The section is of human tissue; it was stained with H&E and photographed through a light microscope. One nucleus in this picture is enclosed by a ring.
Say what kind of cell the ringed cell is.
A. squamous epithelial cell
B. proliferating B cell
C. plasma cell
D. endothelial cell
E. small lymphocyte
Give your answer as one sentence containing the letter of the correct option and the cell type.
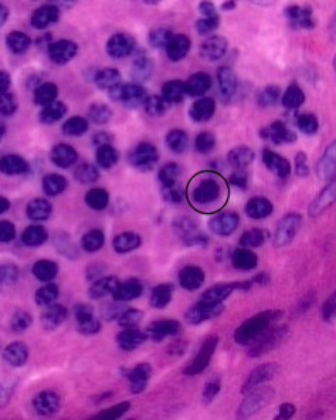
Here the correct option is C, since the ringed cell is a plasma cell.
